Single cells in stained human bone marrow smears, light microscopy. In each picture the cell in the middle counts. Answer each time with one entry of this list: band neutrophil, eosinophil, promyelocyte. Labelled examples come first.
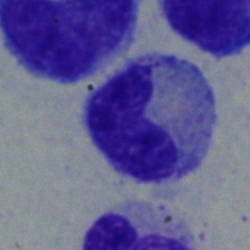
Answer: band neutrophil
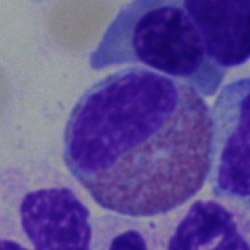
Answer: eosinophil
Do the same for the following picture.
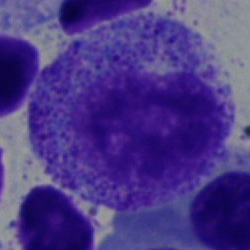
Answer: promyelocyte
